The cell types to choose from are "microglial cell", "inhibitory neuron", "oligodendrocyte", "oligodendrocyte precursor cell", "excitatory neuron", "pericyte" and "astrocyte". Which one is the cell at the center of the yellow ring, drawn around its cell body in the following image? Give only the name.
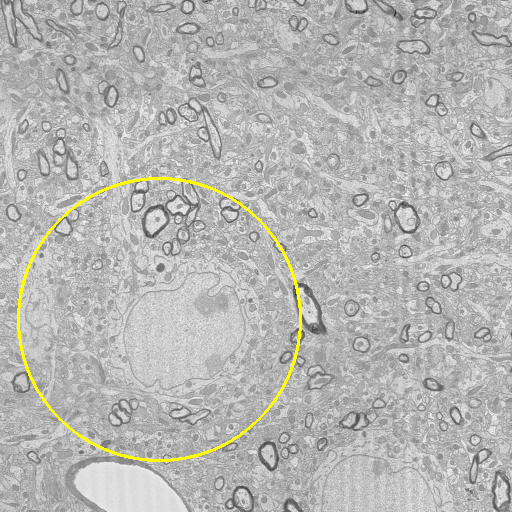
excitatory neuron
